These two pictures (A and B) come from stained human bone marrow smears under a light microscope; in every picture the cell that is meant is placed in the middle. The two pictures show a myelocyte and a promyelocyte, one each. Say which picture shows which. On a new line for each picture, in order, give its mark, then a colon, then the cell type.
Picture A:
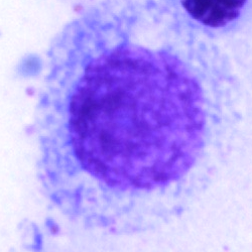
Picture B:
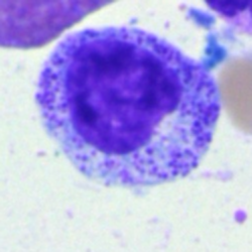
A: promyelocyte
B: myelocyte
